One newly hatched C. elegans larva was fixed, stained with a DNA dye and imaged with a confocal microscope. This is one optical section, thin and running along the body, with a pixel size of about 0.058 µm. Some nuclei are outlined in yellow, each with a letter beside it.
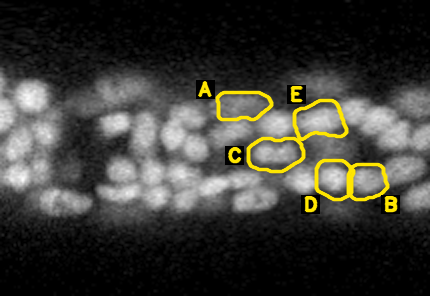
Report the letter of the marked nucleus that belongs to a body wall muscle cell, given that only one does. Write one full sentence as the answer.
It is A that belongs to a body wall muscle cell.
